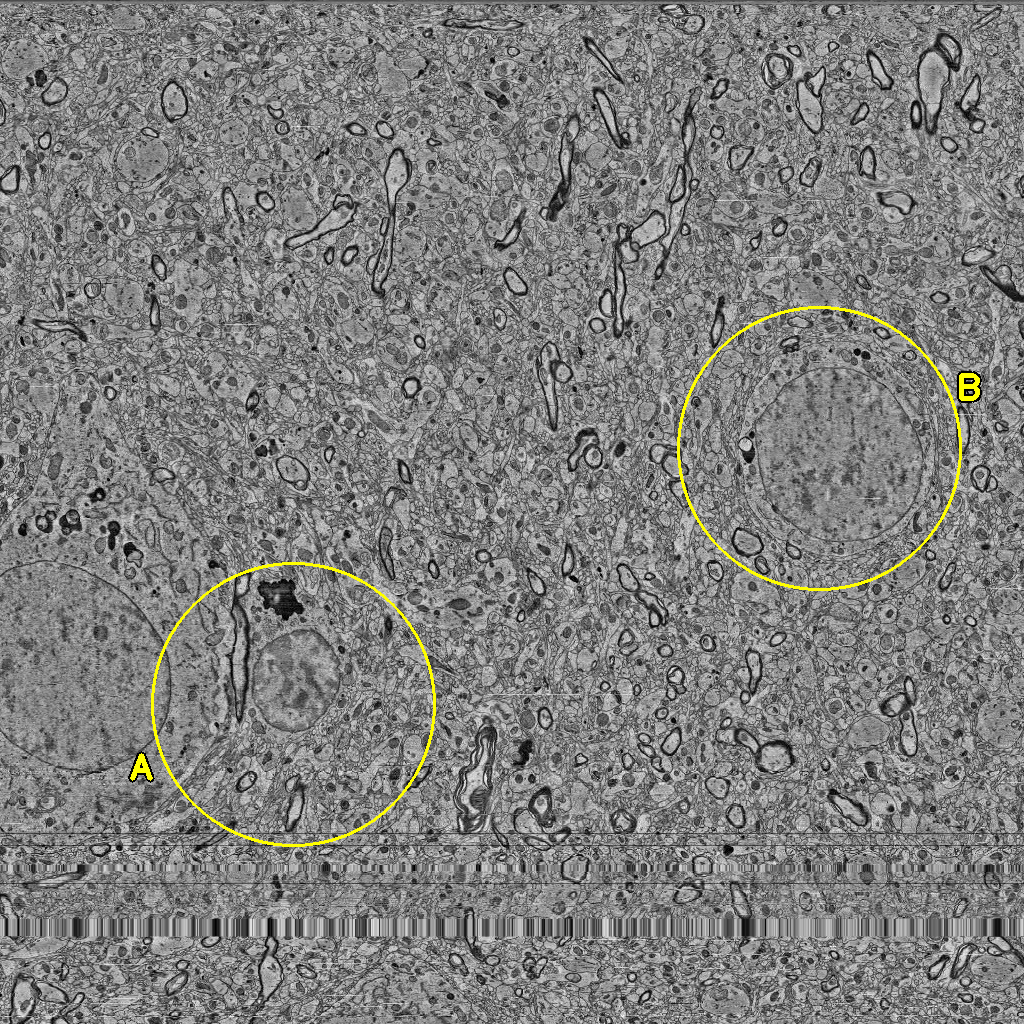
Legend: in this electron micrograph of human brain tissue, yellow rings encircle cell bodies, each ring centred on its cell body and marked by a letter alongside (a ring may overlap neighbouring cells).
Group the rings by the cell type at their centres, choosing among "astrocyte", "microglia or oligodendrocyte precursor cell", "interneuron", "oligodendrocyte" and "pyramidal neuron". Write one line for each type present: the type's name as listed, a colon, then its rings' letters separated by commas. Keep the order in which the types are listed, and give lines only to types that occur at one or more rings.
interneuron: B
oligodendrocyte: A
